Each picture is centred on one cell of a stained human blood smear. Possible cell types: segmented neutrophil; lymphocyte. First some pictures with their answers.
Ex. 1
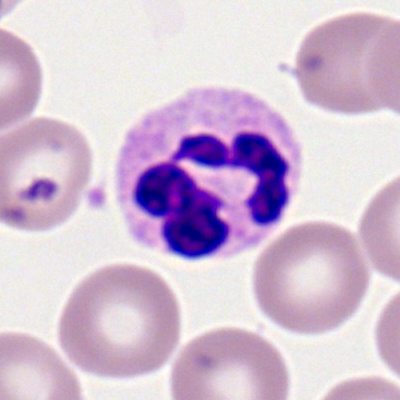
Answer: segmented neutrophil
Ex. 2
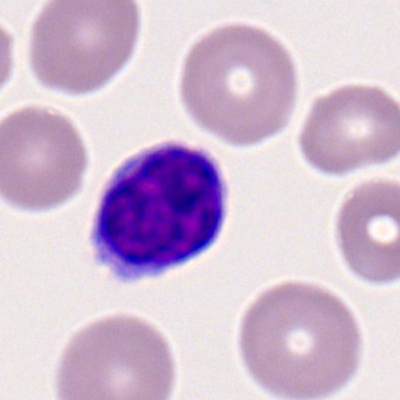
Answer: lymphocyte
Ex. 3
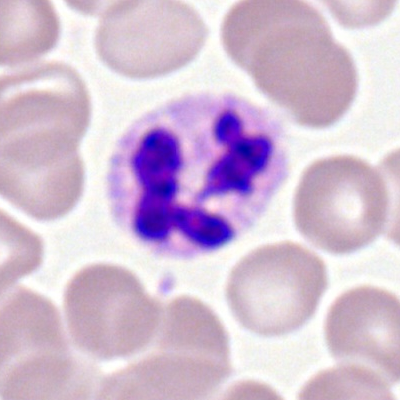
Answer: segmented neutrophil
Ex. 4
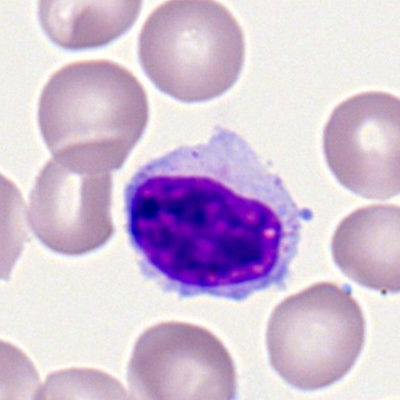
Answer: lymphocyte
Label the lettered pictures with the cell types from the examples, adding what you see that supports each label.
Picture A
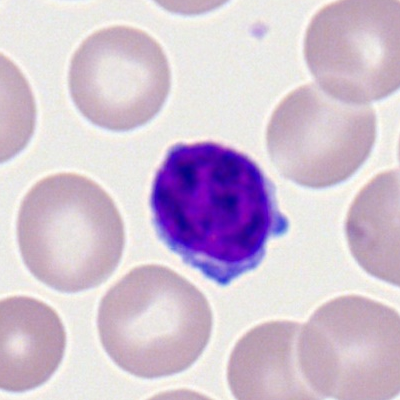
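lymphocyte: The cytoplasm is a scant pale blue rim, widest along the lower edge.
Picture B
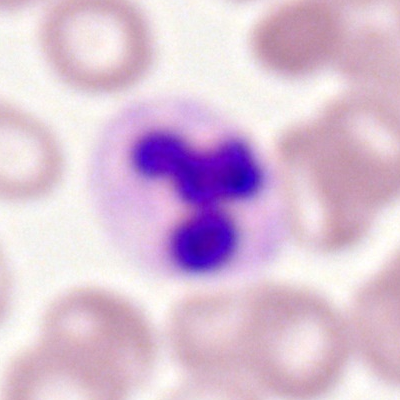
segmented neutrophil: The cytoplasm is plentiful and pale pinkish-lilac.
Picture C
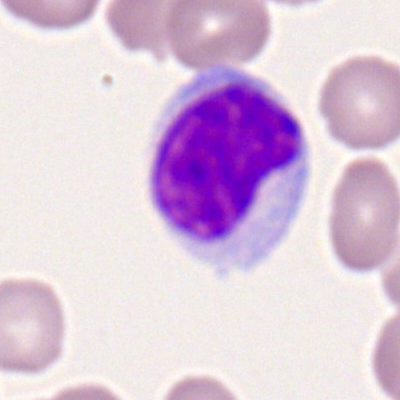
lymphocyte: The nucleus fills most of the cell.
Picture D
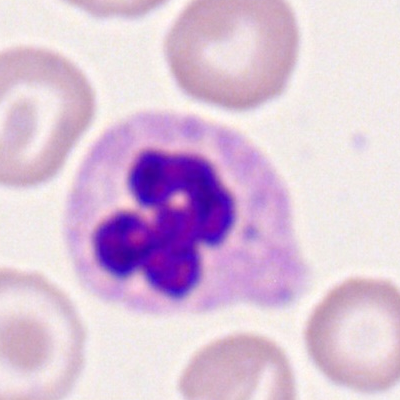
segmented neutrophil: The cytoplasm is abundant and pale pinkish-lilac.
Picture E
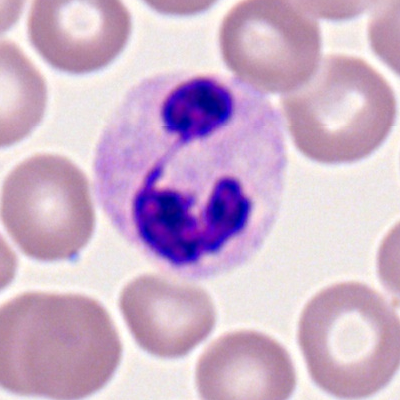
segmented neutrophil: The nucleus is divided into several separate lobes.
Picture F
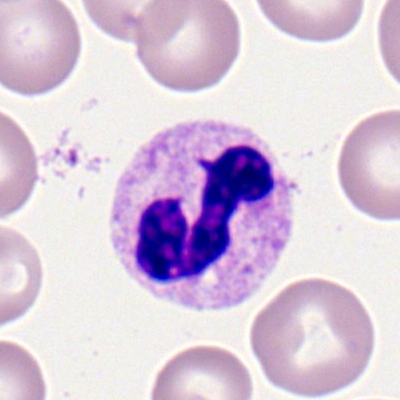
segmented neutrophil: The cytoplasm is abundant and pale pinkish-lilac.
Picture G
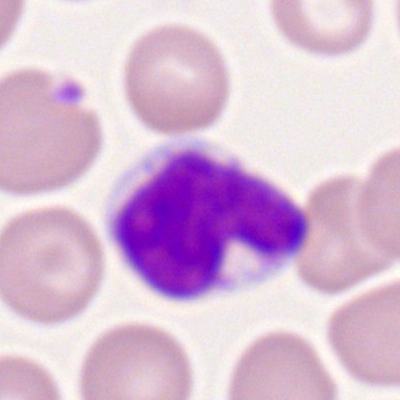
lymphocyte: The nucleus fills most of the cell and has an irregular, folded shape.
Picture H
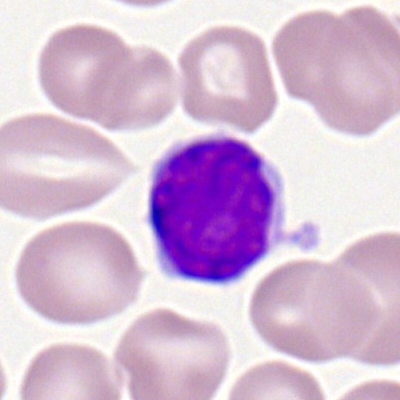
lymphocyte: The cytoplasm is a very thin pale blue rim around the nucleus.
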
